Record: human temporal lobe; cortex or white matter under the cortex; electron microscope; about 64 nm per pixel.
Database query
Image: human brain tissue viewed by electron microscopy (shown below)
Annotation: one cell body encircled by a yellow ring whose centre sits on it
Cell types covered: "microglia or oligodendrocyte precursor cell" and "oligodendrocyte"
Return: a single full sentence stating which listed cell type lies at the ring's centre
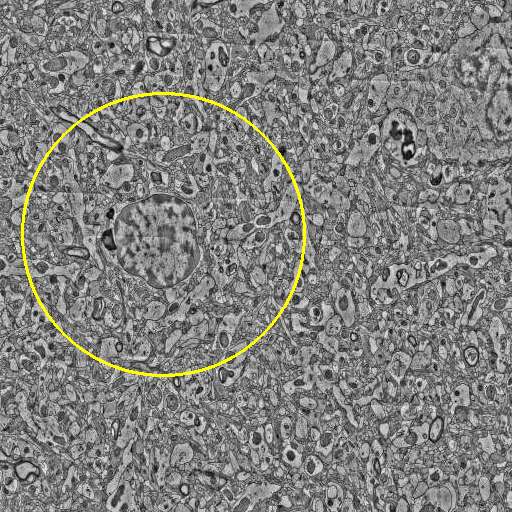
In the image, the cell lying at the ring's centre is a microglial cell or oligodendrocyte precursor cell.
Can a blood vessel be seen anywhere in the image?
No, the image shows no blood vessel.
